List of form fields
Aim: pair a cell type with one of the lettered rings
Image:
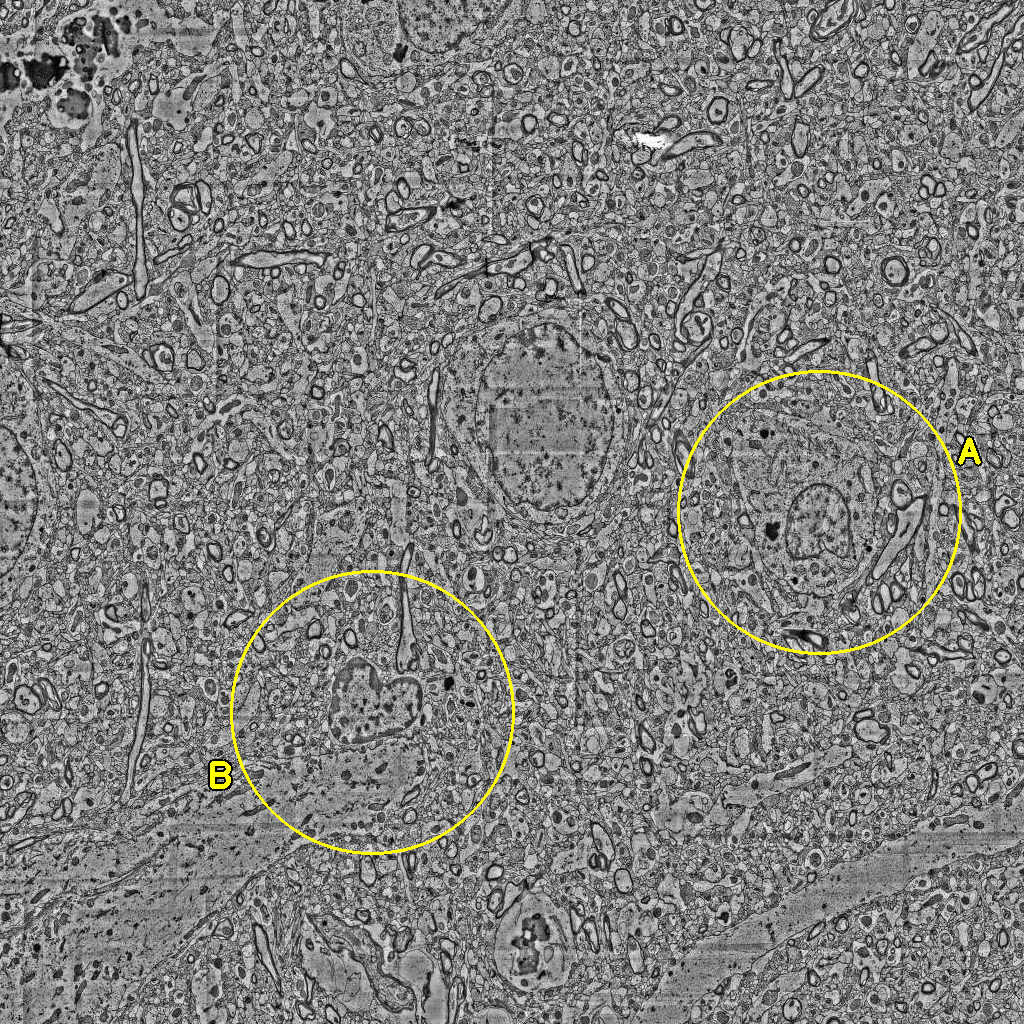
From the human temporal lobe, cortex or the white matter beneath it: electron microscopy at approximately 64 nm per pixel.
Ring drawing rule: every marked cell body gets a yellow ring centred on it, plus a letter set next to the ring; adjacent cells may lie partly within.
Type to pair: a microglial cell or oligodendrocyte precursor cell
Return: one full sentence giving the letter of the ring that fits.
Ring B is the one whose central cell body is that kind of cell.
